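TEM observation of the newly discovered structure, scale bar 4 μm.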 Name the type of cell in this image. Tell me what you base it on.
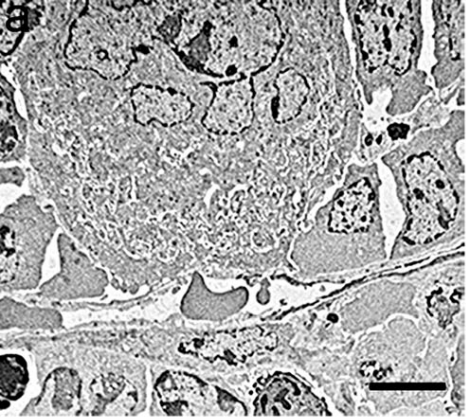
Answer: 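A very large cell occupies the upper part of the panel. Its nucleus is divided into several lobes. It has a wide expanse of finely granular cytoplasm.
Answer: megakaryocyte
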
